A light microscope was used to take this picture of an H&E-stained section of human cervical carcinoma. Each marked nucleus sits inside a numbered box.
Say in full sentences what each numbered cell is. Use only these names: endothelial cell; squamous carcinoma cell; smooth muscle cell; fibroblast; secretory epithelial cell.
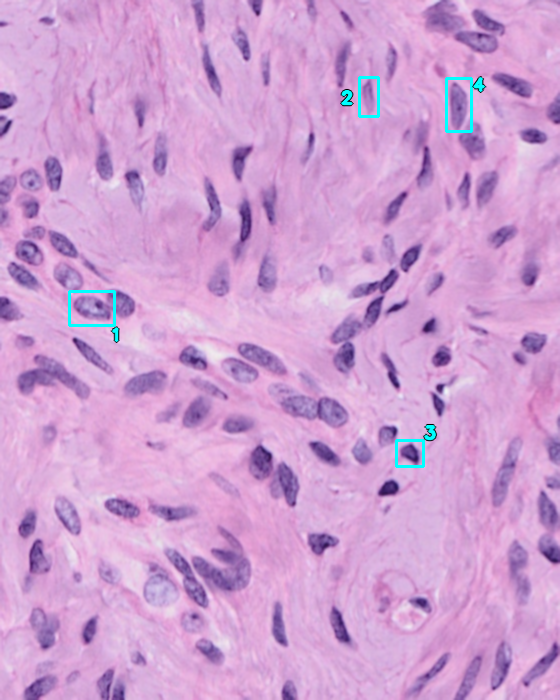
Cell 1 is an endothelial cell, cell 2 is a fibroblast, cell 3 is a fibroblast and cell 4 is a fibroblast.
